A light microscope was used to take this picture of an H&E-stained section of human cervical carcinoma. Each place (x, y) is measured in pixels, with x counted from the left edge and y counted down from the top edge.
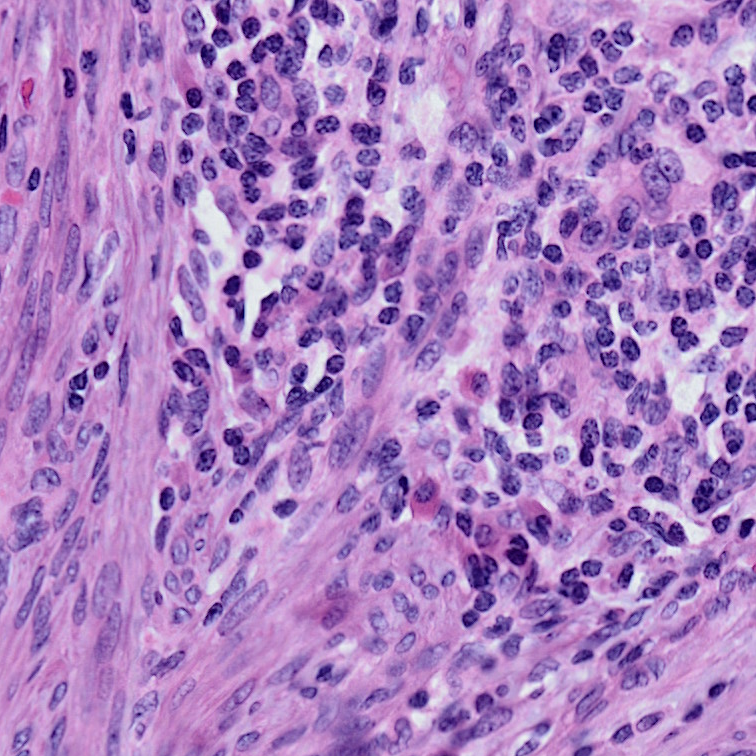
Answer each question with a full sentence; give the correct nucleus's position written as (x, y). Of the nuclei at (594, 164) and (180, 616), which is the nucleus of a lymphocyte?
The nucleus at (594, 164) is contained in a lymphocyte.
